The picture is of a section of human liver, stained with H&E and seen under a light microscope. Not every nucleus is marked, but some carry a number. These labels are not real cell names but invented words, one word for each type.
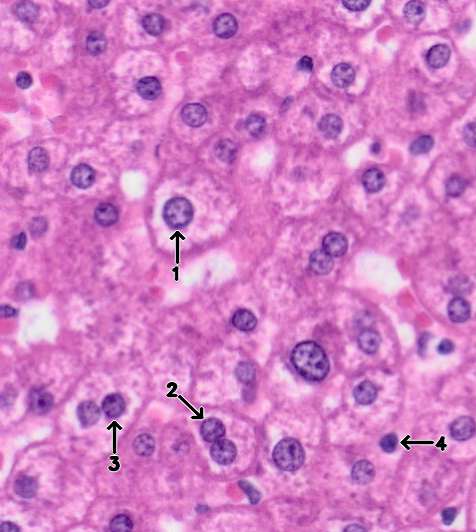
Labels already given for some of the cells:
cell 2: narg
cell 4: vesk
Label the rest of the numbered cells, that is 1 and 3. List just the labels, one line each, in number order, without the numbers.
narg
narg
